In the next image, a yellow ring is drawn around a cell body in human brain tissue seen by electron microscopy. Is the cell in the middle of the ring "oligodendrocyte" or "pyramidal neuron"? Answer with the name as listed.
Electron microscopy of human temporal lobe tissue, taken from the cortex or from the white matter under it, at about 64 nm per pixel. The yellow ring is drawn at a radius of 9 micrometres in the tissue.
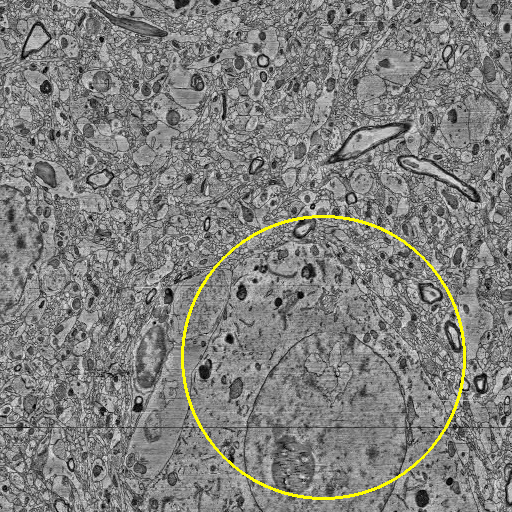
pyramidal neuron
